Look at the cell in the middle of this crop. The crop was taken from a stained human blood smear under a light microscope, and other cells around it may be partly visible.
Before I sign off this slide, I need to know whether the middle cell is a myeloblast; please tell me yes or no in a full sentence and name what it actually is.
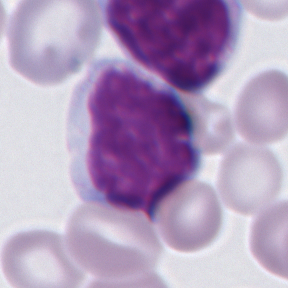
No, the cell in the middle is categorised as a large granular lymphocyte, not a myeloblast.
